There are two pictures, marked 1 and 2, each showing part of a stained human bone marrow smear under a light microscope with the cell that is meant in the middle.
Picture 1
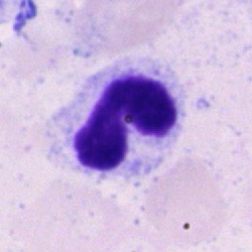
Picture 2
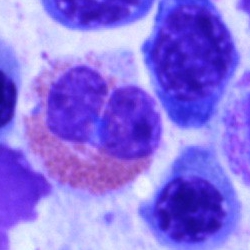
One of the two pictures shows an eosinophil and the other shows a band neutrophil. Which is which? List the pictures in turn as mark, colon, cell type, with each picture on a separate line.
1: band neutrophil
2: eosinophil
